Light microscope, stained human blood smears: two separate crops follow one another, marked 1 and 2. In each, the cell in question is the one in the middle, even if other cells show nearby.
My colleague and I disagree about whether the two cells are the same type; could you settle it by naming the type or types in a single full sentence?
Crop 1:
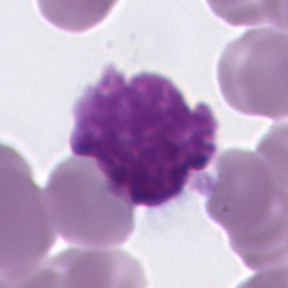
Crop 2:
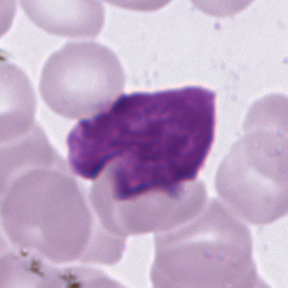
Yes, both crops show smudge cells in the centre of the field.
